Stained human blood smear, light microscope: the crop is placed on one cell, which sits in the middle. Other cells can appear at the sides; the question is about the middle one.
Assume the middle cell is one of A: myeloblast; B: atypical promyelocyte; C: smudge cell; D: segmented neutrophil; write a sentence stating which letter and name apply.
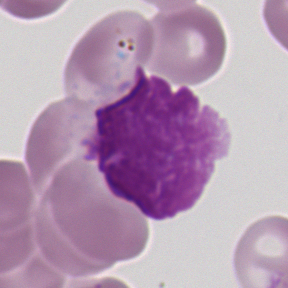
The cell shown centrally is a smudge cell; option C is the correct option.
